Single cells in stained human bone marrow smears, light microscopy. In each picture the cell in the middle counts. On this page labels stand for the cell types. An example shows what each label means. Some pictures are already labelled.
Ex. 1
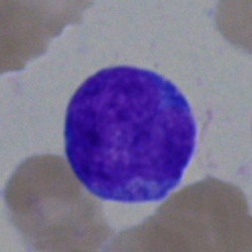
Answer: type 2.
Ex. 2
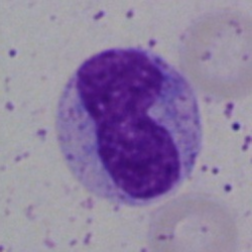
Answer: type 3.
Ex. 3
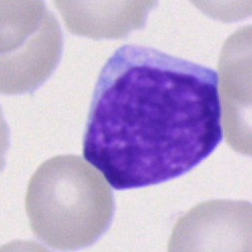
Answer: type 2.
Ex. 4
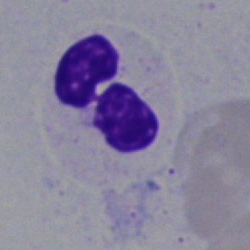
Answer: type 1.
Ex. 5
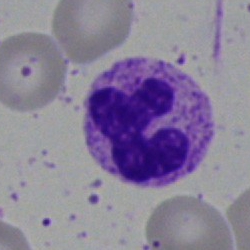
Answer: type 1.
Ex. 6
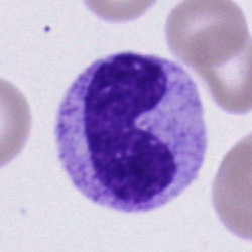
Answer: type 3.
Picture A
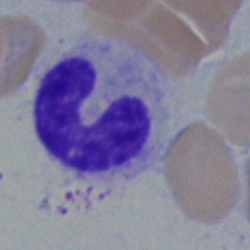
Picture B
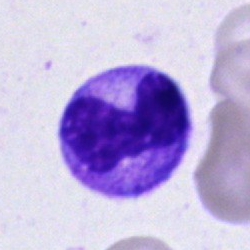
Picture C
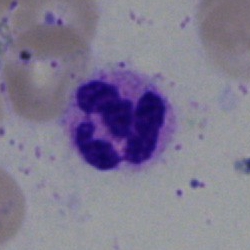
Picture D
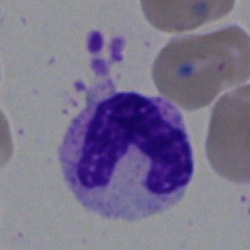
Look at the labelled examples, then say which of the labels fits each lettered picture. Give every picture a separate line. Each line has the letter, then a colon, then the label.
A: type 3.
B: type 3.
C: type 1.
D: type 3.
